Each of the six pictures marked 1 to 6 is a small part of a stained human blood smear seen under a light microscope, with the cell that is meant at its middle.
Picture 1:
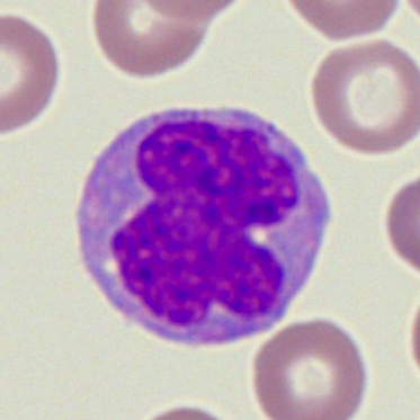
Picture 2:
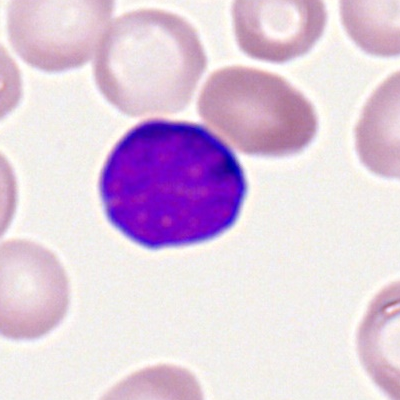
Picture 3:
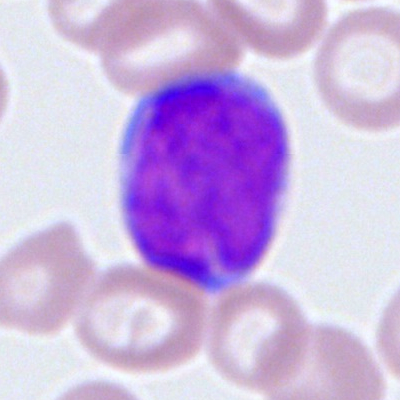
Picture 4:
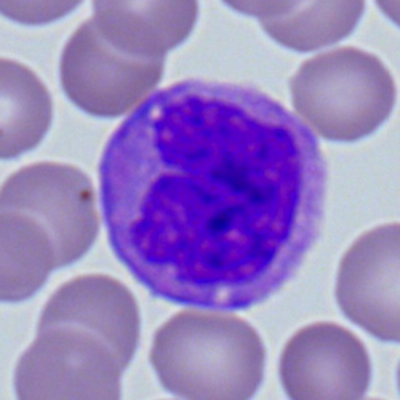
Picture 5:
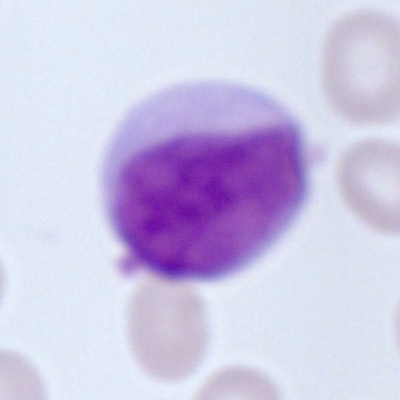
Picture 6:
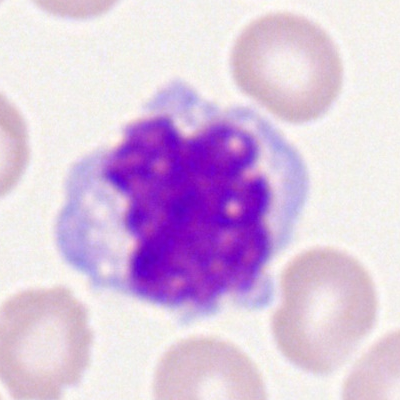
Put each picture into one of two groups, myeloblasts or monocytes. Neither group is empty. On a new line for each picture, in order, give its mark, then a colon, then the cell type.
1: monocyte
2: myeloblast
3: myeloblast
4: monocyte
5: myeloblast
6: monocyte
